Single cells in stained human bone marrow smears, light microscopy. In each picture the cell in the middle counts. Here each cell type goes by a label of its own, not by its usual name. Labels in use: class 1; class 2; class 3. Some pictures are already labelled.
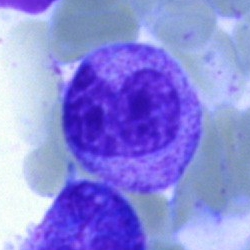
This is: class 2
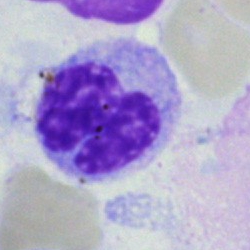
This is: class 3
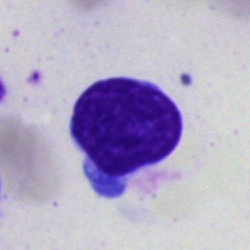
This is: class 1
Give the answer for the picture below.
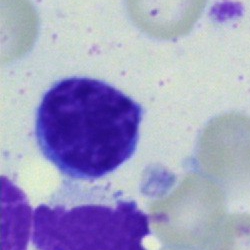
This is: class 1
